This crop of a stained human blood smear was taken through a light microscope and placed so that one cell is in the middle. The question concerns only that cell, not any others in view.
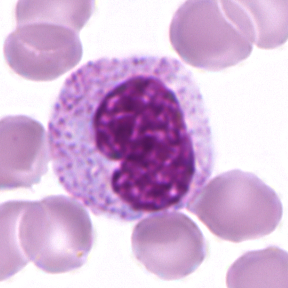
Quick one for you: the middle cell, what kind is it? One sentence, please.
Positioned in the middle of the crop is a band neutrophil.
